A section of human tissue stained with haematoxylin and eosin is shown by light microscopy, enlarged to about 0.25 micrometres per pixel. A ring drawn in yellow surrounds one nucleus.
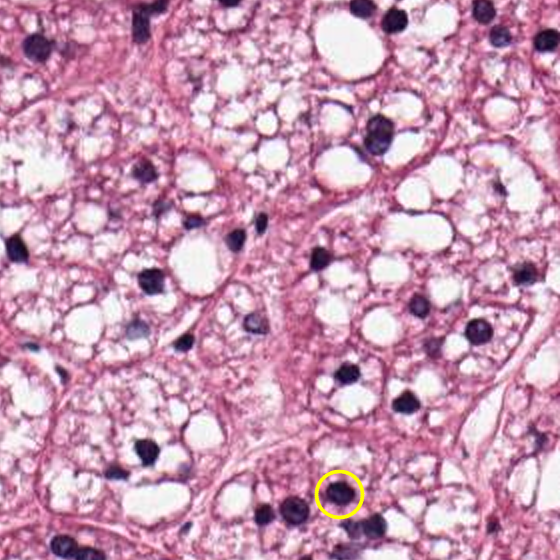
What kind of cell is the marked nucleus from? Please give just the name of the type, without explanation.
adrenal cortical cell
